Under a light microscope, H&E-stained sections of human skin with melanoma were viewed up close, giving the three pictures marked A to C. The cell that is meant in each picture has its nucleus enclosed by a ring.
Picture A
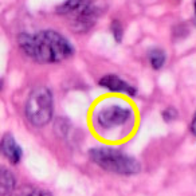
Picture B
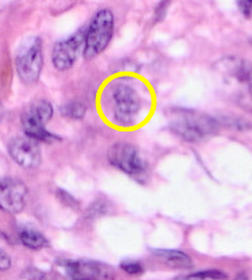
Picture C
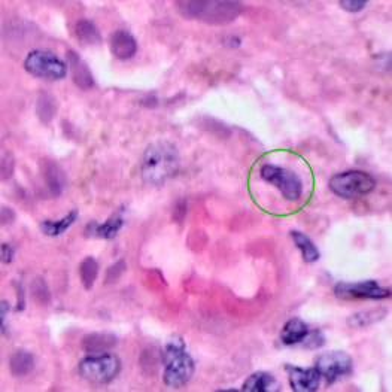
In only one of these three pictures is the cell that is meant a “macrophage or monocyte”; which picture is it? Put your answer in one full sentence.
The “macrophage or monocyte” is the one in picture C.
